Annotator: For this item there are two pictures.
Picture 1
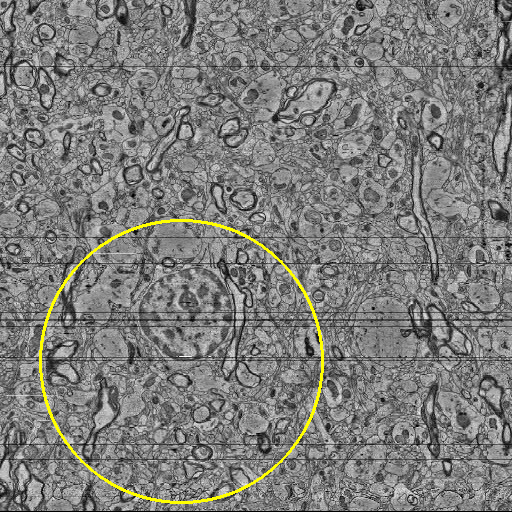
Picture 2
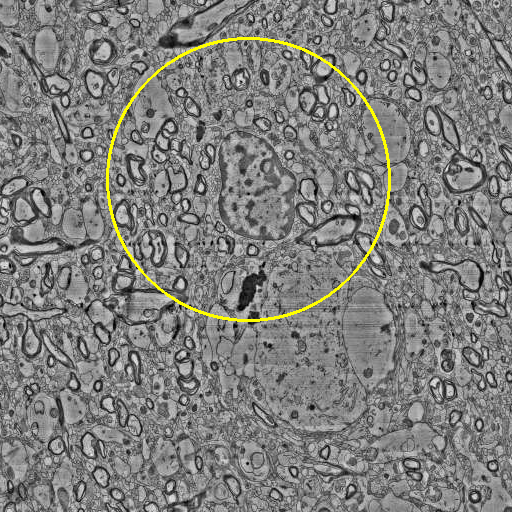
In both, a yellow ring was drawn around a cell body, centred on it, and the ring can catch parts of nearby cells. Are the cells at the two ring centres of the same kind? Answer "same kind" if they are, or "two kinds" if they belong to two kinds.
same kind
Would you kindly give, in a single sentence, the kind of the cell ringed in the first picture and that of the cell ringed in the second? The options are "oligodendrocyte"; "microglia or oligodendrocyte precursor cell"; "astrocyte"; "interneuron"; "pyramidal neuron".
Each cell, in the first picture and the second, is a microglial cell or oligodendrocyte precursor cell.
